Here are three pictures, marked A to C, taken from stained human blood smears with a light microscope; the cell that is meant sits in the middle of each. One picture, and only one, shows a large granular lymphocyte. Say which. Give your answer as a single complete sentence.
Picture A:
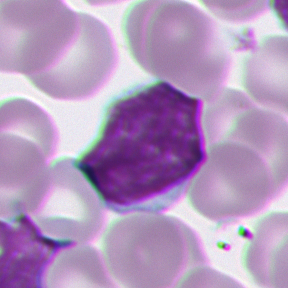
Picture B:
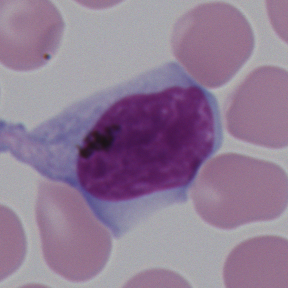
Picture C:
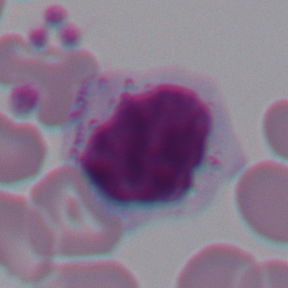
It is picture C that shows the large granular lymphocyte.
